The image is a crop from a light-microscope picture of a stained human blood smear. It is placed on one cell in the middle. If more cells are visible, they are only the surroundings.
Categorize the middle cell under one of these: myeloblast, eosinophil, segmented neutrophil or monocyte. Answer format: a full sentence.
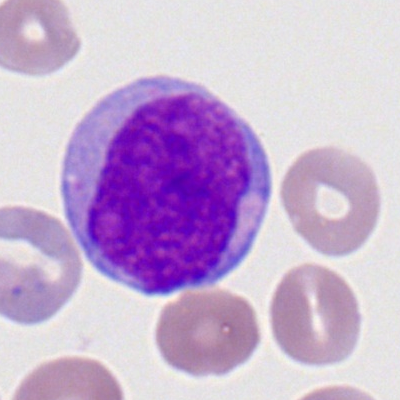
The cell at the centre of the field is a myeloblast.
